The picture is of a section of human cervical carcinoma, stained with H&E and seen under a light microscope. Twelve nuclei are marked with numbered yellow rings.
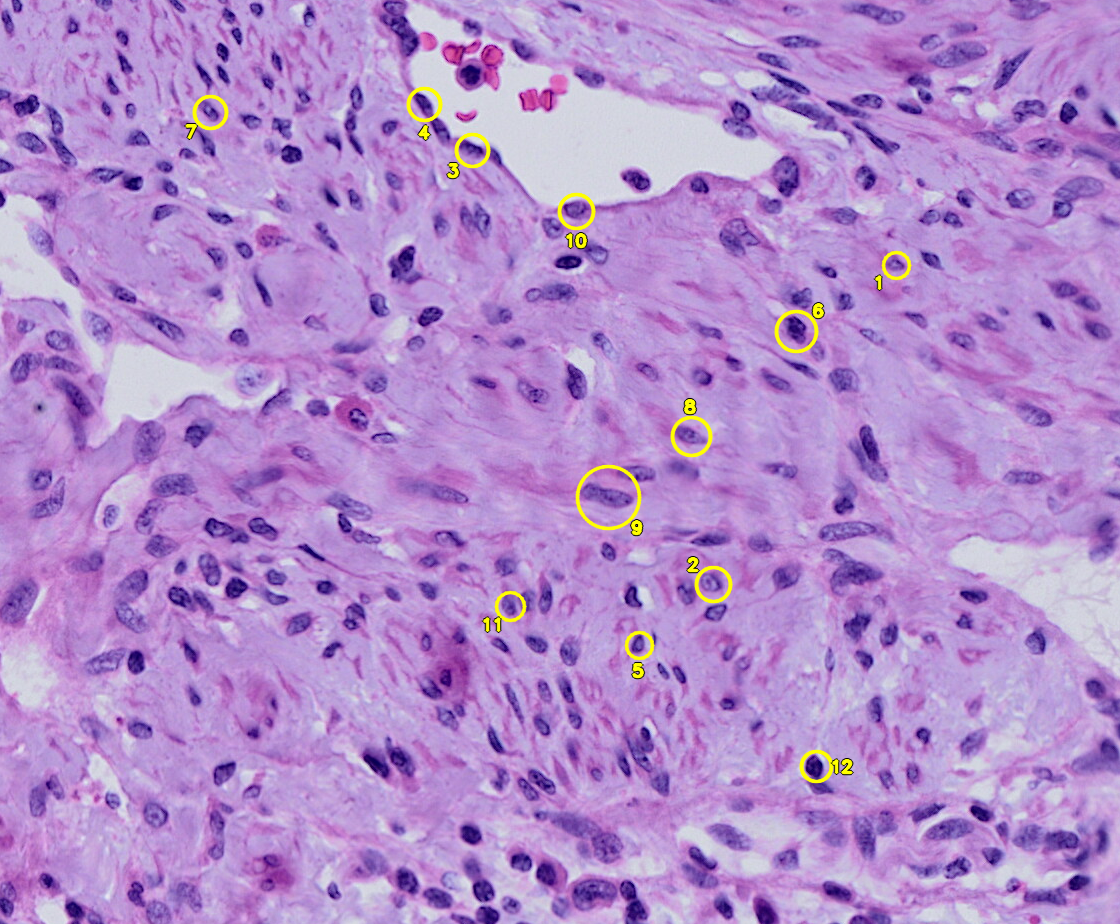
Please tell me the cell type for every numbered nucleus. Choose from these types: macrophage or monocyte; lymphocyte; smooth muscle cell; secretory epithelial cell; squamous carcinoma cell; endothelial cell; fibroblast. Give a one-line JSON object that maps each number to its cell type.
{"1": "smooth muscle cell", "2": "smooth muscle cell", "3": "endothelial cell", "4": "endothelial cell", "5": "smooth muscle cell", "6": "lymphocyte", "7": "smooth muscle cell", "8": "smooth muscle cell", "9": "smooth muscle cell", "10": "endothelial cell", "11": "smooth muscle cell", "12": "lymphocyte"}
